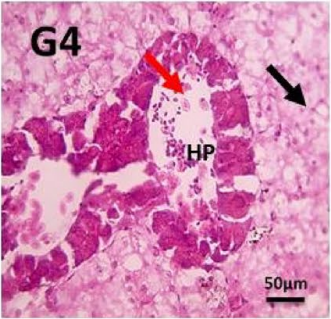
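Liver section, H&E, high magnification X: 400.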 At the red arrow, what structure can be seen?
Blood vessels.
